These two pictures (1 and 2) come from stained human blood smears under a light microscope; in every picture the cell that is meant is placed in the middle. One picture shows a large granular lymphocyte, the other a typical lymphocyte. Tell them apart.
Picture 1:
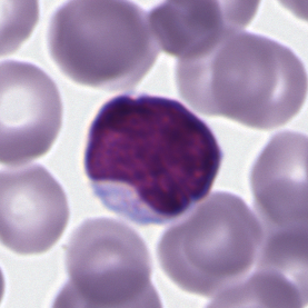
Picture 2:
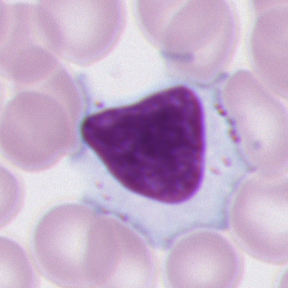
1: typical lymphocyte
2: large granular lymphocyte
